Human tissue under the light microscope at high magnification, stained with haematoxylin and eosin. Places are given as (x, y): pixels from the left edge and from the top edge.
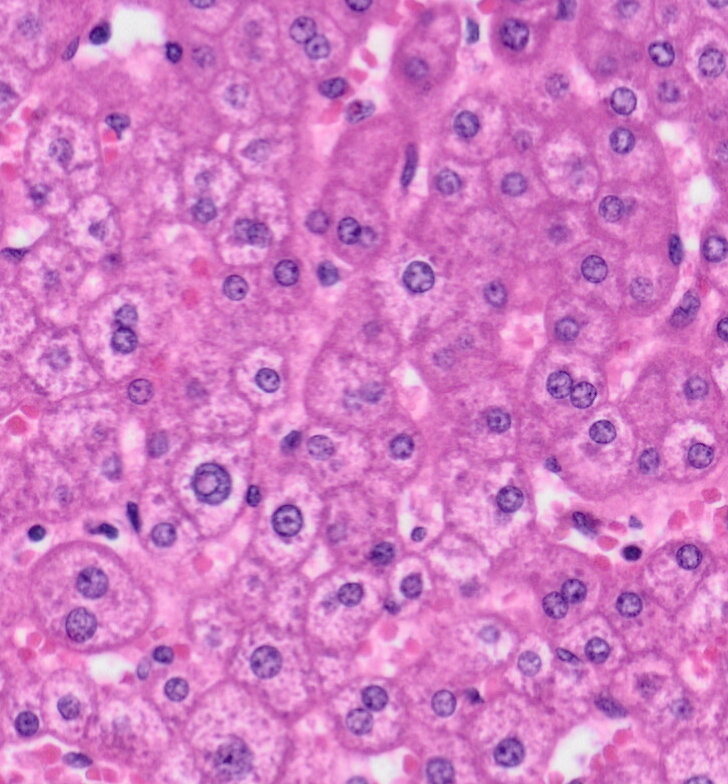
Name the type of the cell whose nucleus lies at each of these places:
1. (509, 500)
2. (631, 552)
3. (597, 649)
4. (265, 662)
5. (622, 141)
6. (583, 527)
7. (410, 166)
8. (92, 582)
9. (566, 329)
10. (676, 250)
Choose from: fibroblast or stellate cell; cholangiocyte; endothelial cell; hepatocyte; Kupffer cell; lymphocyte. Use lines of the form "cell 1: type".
cell 1: hepatocyte
cell 2: lymphocyte
cell 3: hepatocyte
cell 4: hepatocyte
cell 5: hepatocyte
cell 6: Kupffer cell
cell 7: Kupffer cell
cell 8: hepatocyte
cell 9: hepatocyte
cell 10: fibroblast or stellate cell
